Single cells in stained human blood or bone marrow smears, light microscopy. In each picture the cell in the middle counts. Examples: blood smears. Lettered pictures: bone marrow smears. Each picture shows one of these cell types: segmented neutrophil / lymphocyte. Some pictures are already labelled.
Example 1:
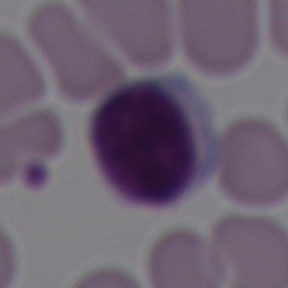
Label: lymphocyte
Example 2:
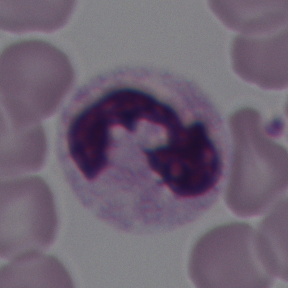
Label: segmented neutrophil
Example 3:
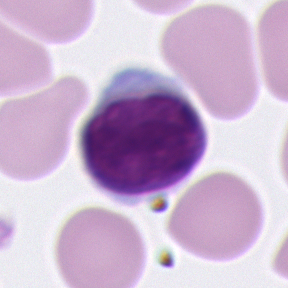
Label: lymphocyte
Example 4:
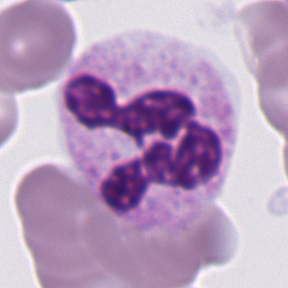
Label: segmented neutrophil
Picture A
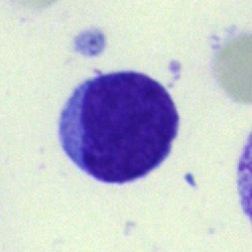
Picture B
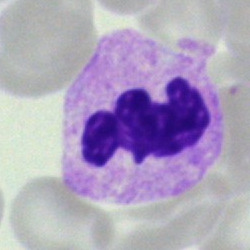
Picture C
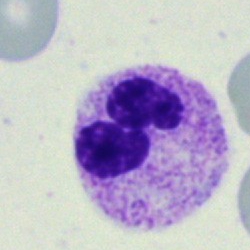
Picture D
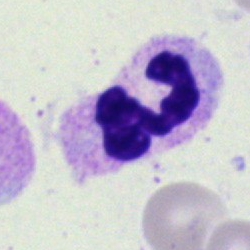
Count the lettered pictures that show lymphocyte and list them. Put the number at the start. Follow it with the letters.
1, namely A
